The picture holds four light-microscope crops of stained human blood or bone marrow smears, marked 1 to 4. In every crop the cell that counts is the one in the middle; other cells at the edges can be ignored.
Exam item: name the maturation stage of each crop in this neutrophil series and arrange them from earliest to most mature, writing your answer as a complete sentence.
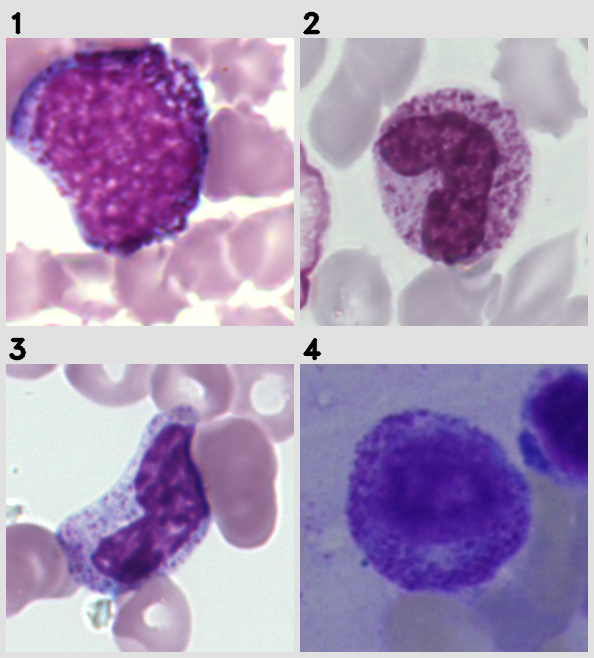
The order of the crops by rising maturity is crop 1 (a promyelocyte), crop 4 (a myelocyte), crop 3 (a metamyelocyte) and crop 2 (a band neutrophil).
